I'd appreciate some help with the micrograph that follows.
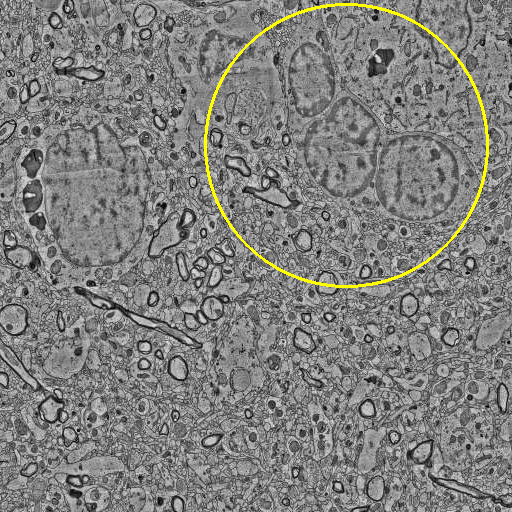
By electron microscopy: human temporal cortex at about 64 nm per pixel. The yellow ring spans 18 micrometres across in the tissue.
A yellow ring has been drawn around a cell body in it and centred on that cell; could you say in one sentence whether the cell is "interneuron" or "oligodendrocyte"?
It is an oligodendrocyte at the centre of the ring.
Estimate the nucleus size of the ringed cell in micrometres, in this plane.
About 6 by 5 micrometres in this plane.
